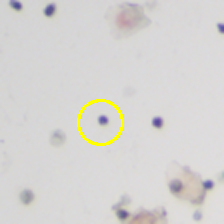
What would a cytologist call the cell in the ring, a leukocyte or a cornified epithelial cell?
A cytologist would call it a leukocyte.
